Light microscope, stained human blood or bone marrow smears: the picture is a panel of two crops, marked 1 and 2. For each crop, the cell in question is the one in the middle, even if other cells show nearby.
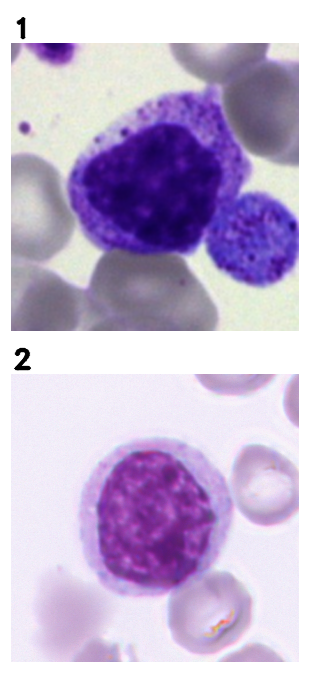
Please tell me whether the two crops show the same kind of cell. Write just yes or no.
yes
